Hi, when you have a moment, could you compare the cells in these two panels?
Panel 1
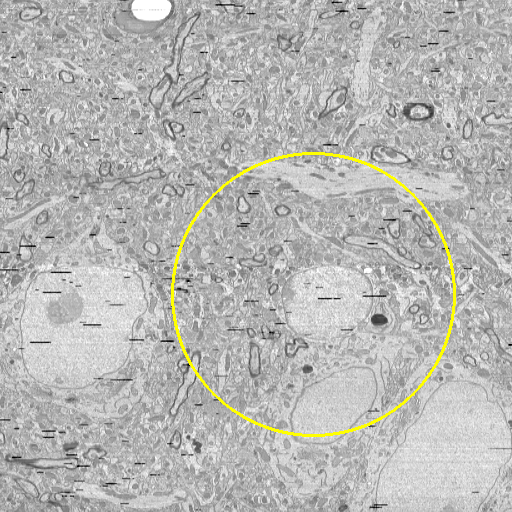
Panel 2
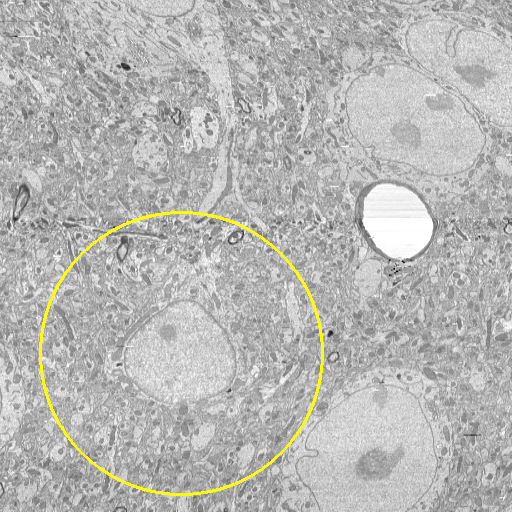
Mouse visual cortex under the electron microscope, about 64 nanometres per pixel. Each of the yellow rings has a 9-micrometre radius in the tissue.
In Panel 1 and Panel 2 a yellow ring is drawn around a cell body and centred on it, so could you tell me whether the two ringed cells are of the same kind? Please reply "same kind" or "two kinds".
same kind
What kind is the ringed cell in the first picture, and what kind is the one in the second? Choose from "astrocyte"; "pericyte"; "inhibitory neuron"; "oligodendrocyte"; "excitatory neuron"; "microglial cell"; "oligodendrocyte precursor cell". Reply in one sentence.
Both the first and the second picture show an astrocyte in the ring.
